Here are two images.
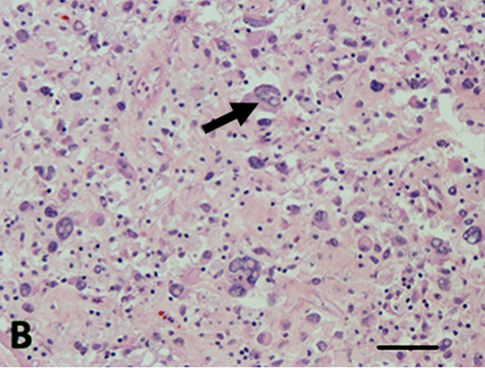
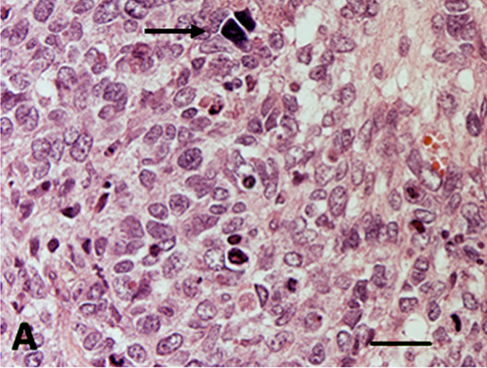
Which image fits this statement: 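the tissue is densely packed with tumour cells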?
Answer: the second image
